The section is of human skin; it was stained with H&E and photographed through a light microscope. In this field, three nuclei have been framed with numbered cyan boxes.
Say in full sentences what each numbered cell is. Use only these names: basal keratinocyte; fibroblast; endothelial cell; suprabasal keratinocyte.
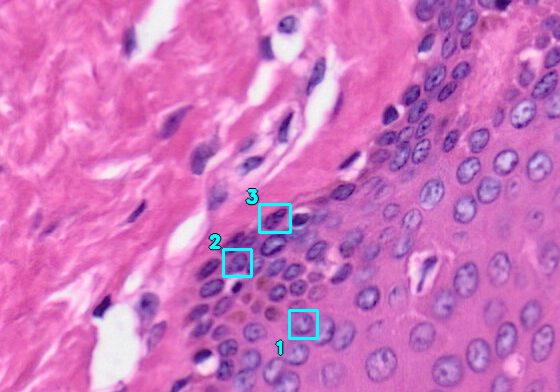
Cell 1 is a suprabasal keratinocyte. Cells 2 and 3 are basal keratinocytes.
